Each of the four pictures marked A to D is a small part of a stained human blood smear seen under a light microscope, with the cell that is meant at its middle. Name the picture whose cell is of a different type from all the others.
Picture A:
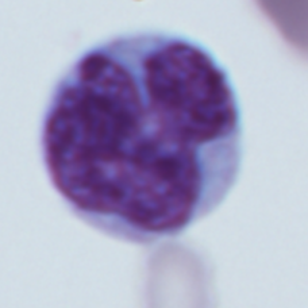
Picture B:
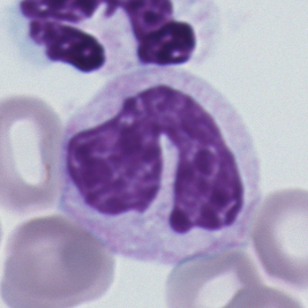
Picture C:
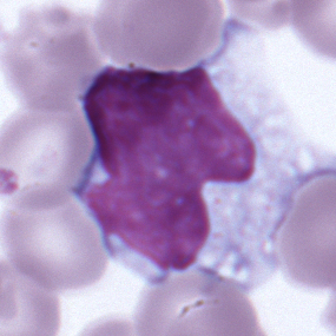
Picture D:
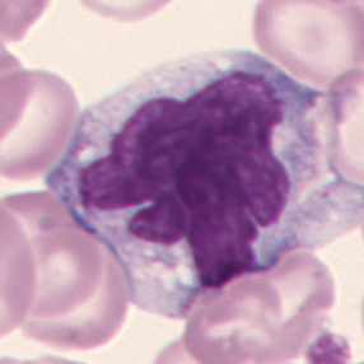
B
